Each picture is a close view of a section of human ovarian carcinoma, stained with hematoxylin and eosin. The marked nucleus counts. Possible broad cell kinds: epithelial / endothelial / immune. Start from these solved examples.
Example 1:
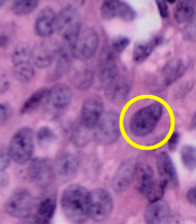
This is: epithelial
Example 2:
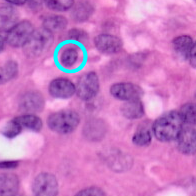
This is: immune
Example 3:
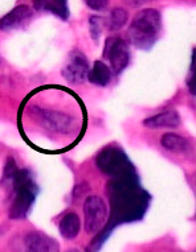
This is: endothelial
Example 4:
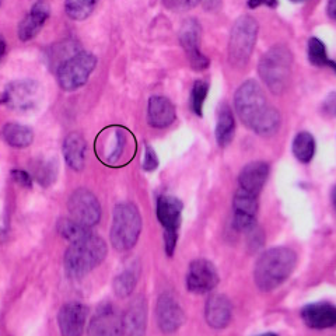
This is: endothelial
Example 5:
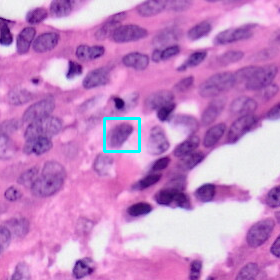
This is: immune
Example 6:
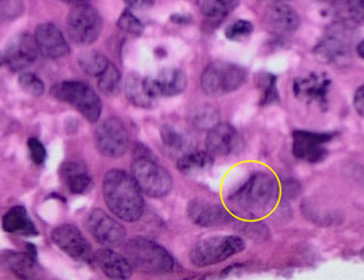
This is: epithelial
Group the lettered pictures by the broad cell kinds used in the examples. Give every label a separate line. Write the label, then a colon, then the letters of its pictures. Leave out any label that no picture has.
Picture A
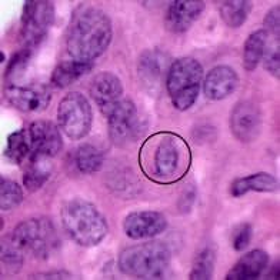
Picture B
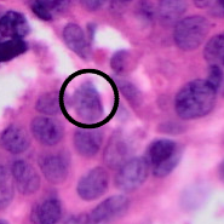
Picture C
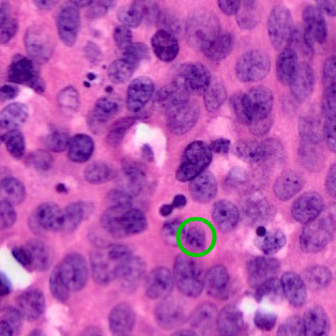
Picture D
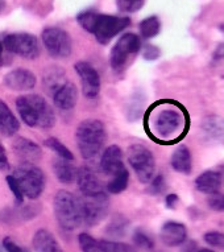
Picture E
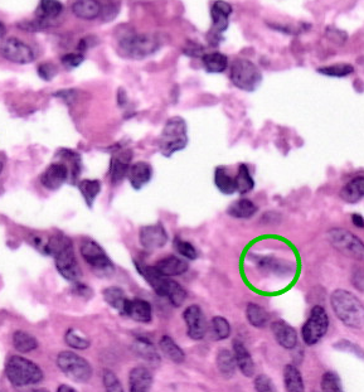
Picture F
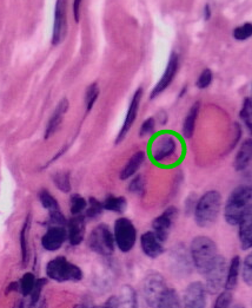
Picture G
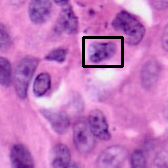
epithelial: B
endothelial: A, C, E, F
immune: D, G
